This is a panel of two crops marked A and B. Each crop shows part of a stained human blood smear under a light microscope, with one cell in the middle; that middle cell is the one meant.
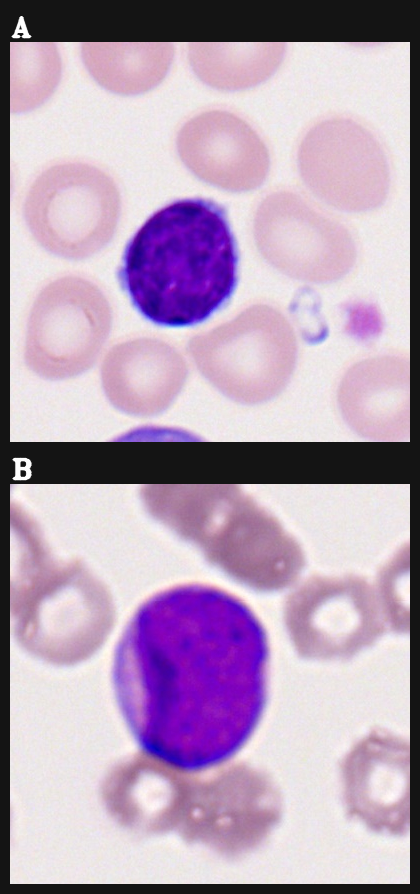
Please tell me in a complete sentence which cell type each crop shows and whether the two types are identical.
No, record crop A as a lymphocyte and crop B as a myeloblast.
